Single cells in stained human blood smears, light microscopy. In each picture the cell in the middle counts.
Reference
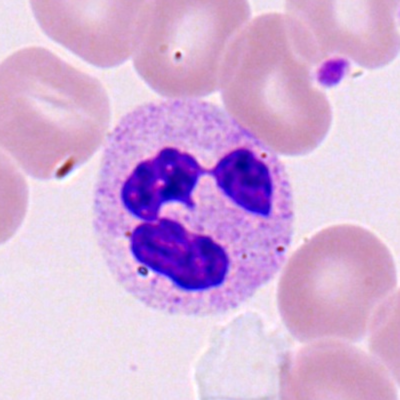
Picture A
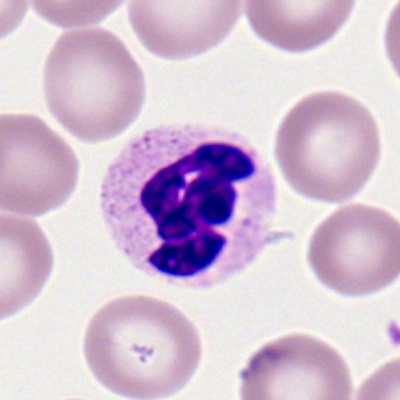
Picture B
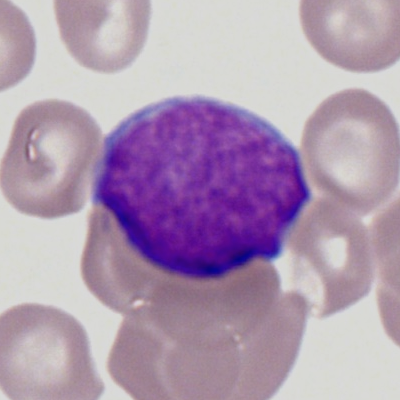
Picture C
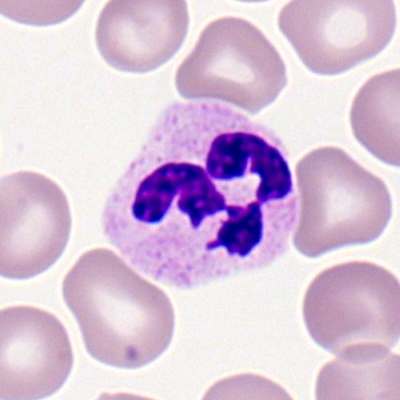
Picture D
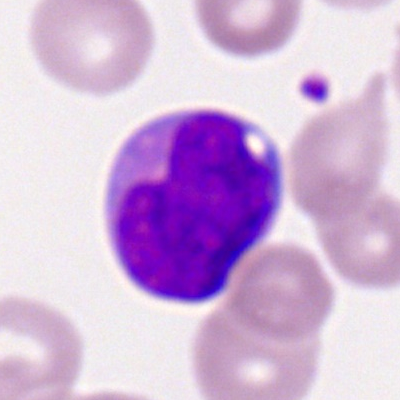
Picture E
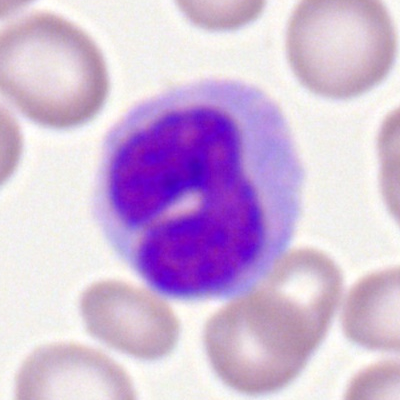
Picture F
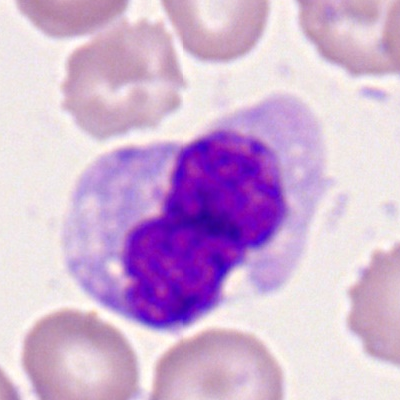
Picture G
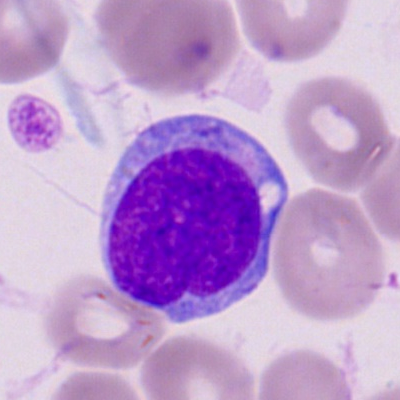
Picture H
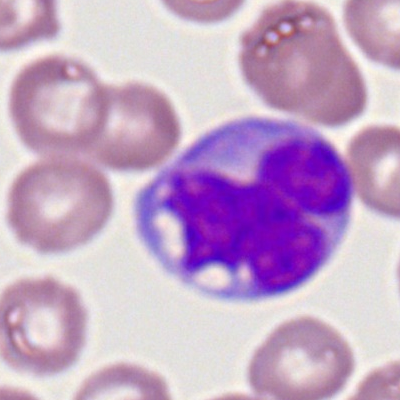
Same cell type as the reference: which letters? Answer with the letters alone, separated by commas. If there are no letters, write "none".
A, C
